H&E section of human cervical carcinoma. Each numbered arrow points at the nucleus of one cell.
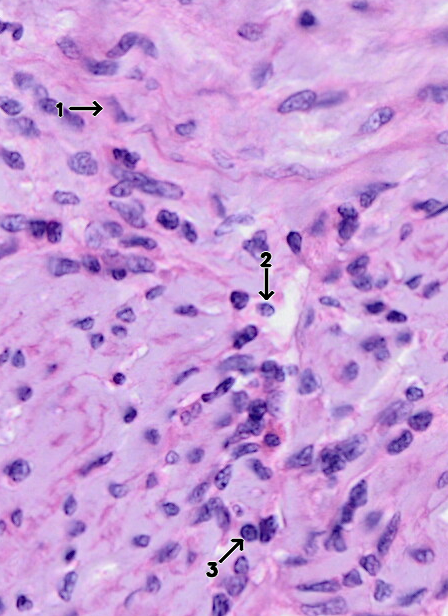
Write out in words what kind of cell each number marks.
Cell 1 is a smooth muscle cell. Cells 2 and 3 are lymphocytes.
